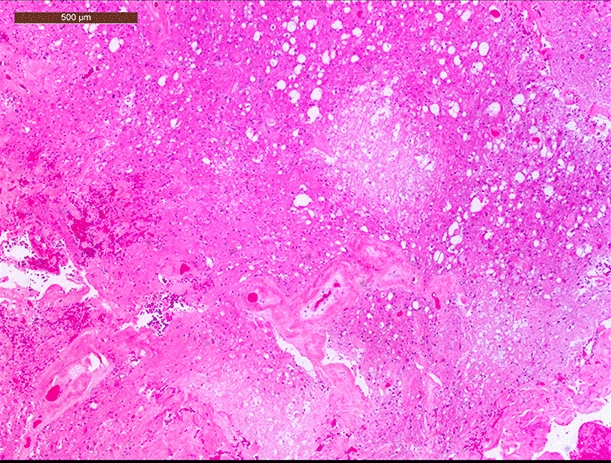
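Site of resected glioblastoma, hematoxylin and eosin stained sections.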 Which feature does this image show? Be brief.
Hyalinized vessels.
